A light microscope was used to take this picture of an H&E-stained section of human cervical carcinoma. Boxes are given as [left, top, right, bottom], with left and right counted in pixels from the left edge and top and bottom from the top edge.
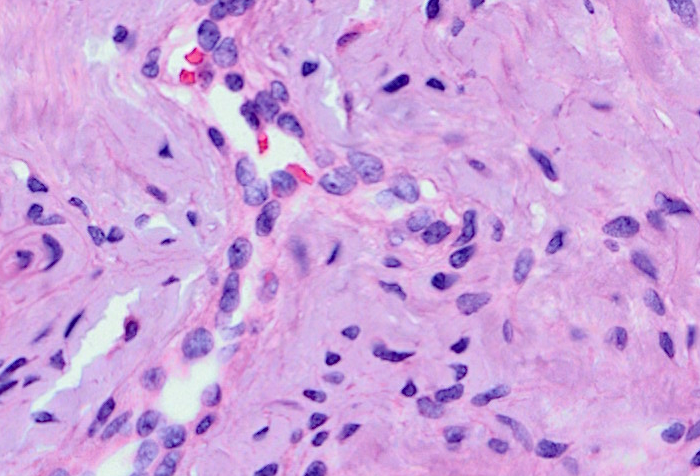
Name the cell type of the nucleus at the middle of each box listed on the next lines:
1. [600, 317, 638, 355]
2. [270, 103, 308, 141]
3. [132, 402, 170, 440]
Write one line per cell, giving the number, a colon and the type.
1: fibroblast
2: endothelial cell
3: endothelial cell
